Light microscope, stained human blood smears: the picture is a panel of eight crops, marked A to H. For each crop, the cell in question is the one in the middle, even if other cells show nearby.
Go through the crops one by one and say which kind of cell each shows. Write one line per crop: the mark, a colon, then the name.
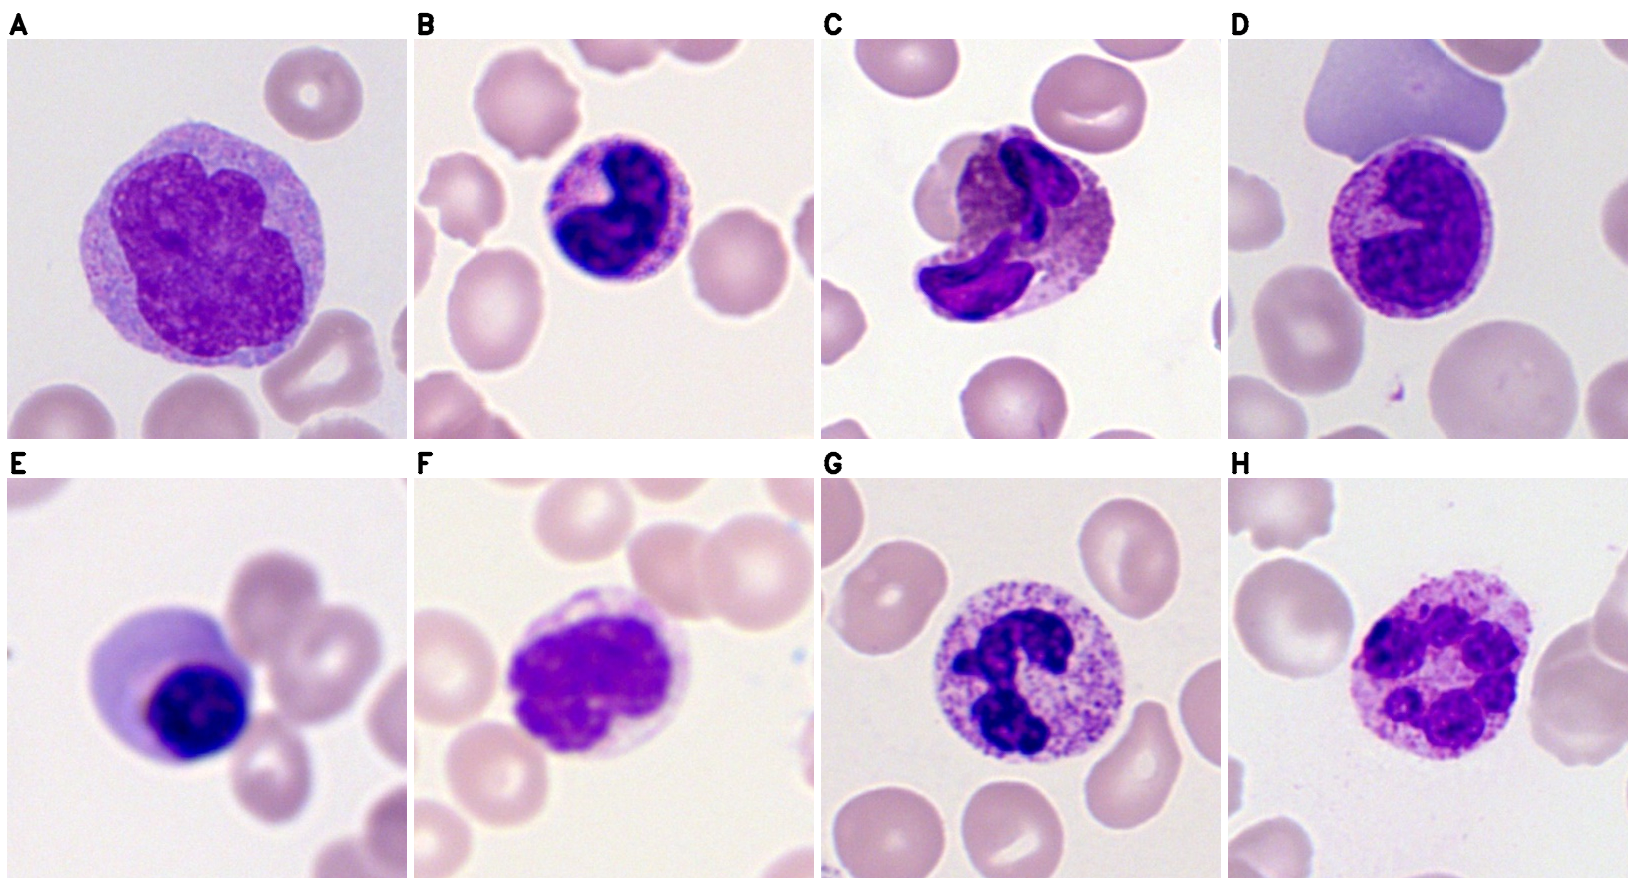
A: myeloblast
B: band neutrophil
C: eosinophil
D: basophil
E: erythroblast
F: basophil
G: segmented neutrophil
H: basophil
